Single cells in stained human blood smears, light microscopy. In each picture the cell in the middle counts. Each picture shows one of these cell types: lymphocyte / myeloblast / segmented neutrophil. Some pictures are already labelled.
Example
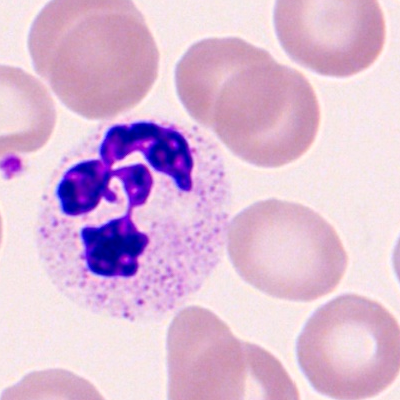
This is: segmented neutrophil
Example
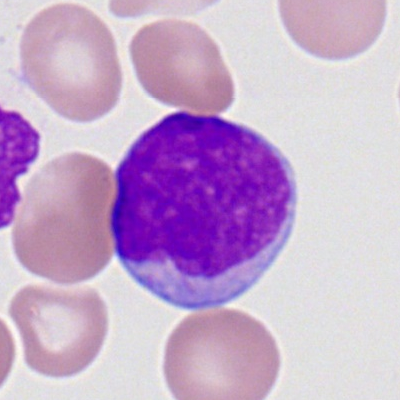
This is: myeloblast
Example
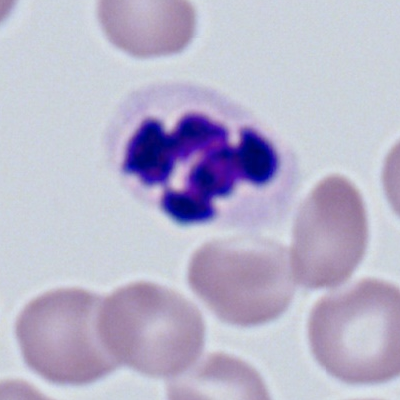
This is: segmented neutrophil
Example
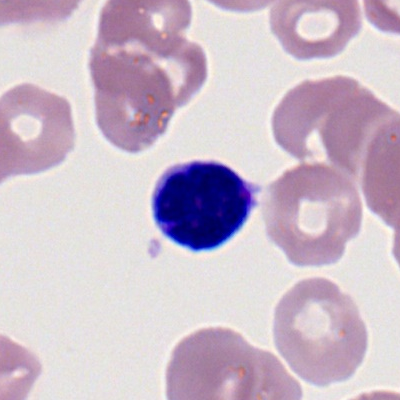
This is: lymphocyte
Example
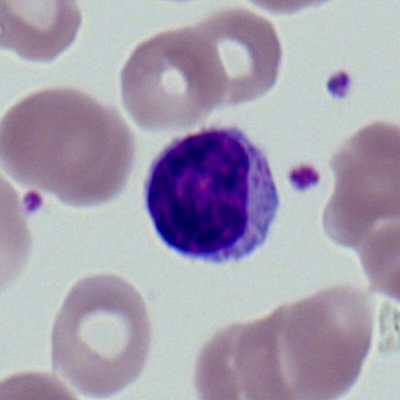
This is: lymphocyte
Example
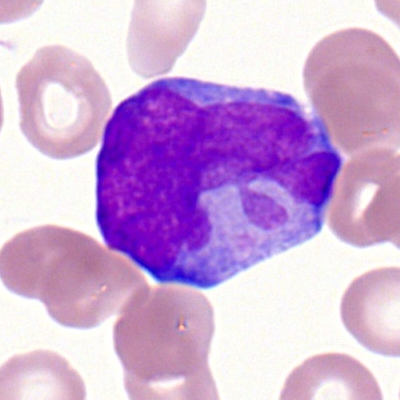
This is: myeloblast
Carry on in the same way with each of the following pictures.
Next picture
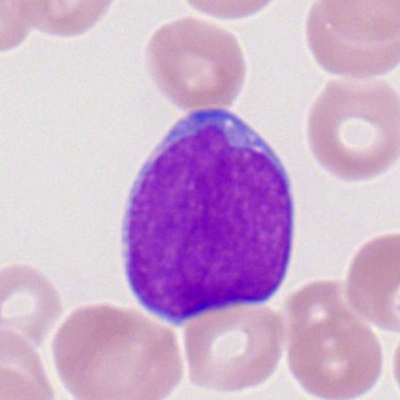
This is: myeloblast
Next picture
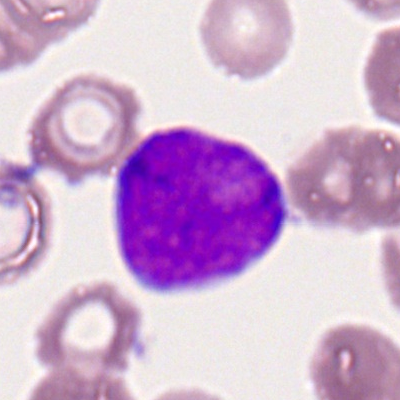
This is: myeloblast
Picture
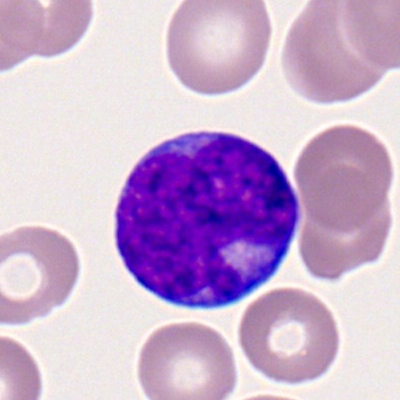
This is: myeloblast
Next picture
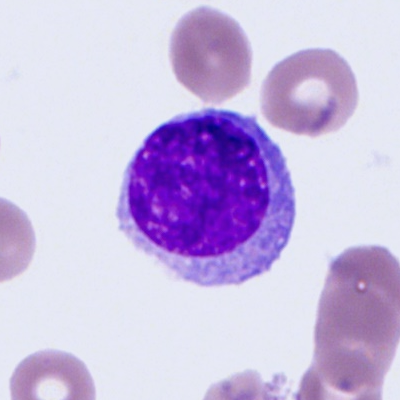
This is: lymphocyte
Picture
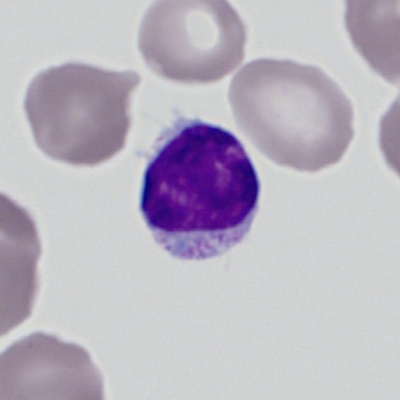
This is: lymphocyte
